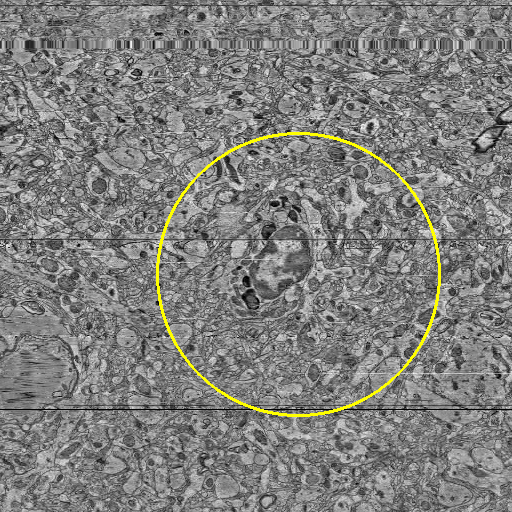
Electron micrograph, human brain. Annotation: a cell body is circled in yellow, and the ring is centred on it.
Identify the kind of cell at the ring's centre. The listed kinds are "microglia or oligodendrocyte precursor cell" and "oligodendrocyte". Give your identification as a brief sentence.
The circled cell body is that of a microglial cell or oligodendrocyte precursor cell.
